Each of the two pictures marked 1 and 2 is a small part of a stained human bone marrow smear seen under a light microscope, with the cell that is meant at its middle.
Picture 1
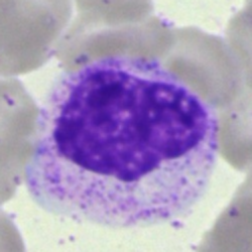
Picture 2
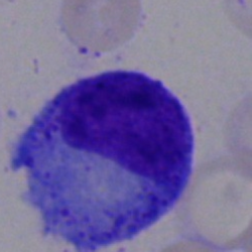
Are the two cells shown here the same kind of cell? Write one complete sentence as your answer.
Yes, both cells are myelocytes.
